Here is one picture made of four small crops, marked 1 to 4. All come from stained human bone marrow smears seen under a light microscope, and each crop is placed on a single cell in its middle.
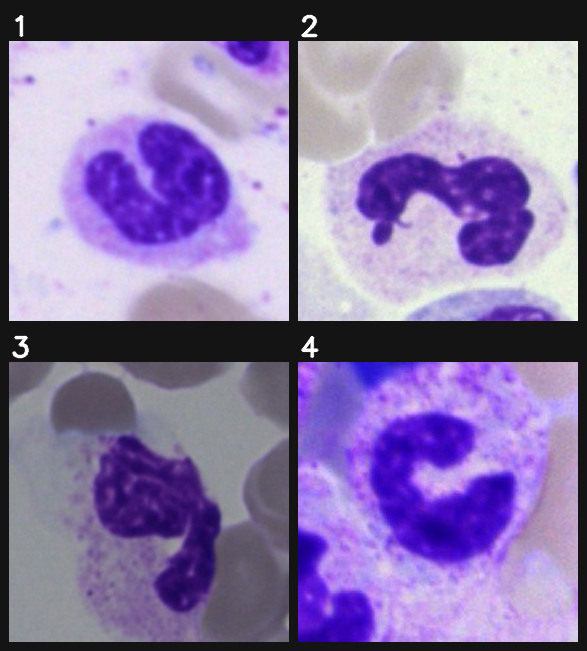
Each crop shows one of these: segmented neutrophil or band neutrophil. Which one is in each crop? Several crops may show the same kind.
1: segmented neutrophil
2: segmented neutrophil
3: segmented neutrophil
4: band neutrophil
